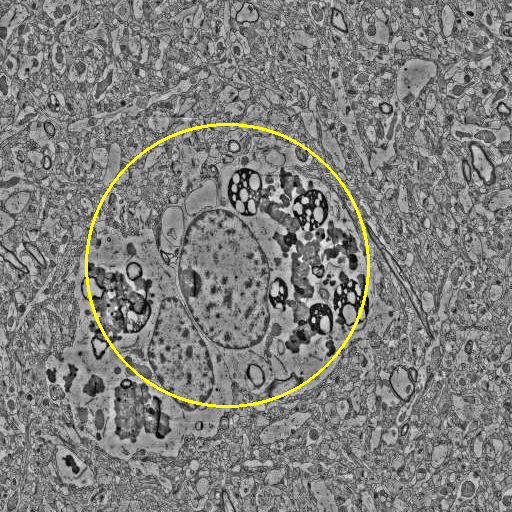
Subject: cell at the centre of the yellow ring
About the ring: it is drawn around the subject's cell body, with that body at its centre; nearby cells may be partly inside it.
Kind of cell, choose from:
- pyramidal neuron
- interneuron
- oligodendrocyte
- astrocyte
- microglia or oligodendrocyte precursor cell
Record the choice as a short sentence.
The subject cell is an astrocyte.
